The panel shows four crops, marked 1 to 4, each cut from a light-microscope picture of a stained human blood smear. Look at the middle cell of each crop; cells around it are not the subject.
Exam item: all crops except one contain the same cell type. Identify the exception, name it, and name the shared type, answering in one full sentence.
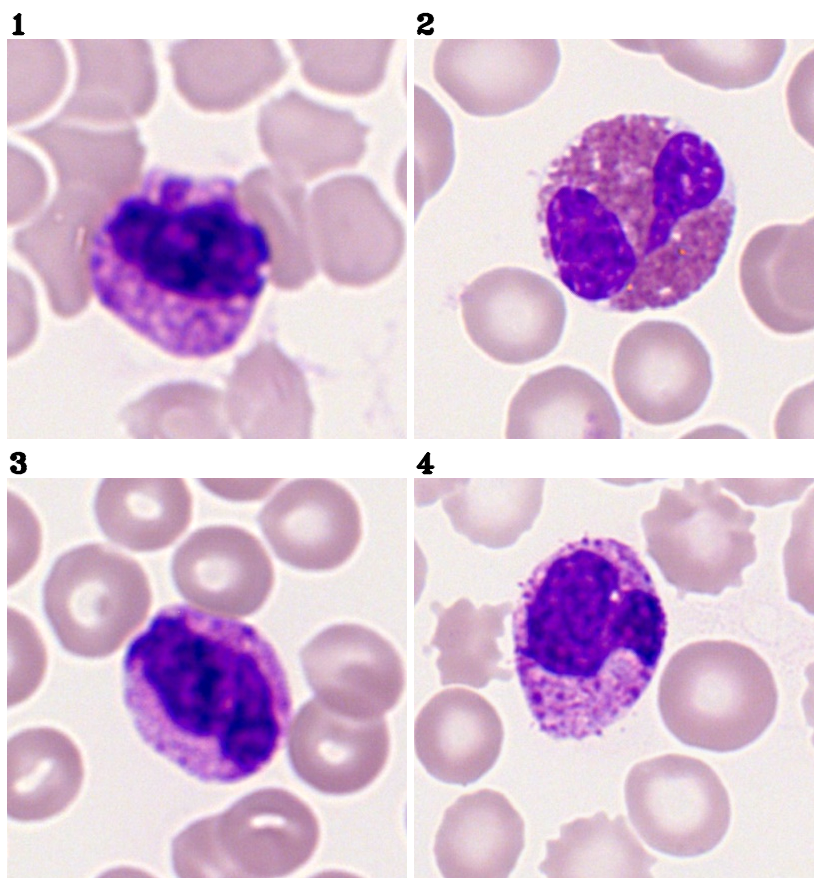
Apart from crop 2, which shows an eosinophil, every crop shows basophils.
